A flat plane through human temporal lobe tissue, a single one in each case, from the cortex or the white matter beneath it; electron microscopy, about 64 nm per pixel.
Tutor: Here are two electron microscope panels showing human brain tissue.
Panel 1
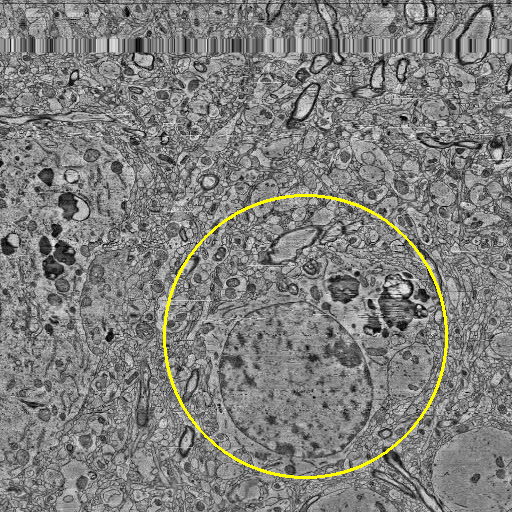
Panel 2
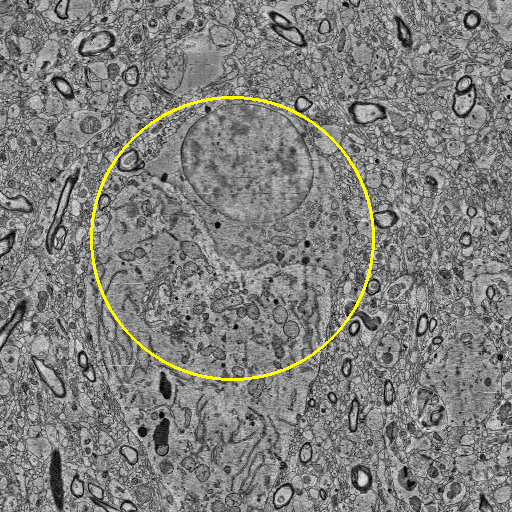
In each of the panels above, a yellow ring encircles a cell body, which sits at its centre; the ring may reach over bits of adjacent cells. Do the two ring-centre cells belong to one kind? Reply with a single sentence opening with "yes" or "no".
No, the two cells sitting at the ring centres in the panels belong to two kinds.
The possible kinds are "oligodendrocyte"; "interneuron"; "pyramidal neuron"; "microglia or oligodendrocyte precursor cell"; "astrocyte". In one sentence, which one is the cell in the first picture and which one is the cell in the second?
The cell ringed in the second picture is an oligodendrocyte, whereas the one ringed in the first is an astrocyte.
